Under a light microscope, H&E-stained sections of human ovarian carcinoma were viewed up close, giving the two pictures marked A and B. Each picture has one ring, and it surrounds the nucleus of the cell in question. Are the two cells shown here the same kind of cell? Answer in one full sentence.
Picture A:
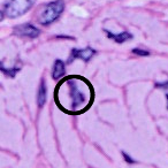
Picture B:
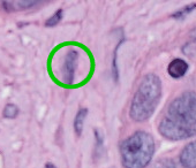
Yes, the two pictures both show fibroblasts.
